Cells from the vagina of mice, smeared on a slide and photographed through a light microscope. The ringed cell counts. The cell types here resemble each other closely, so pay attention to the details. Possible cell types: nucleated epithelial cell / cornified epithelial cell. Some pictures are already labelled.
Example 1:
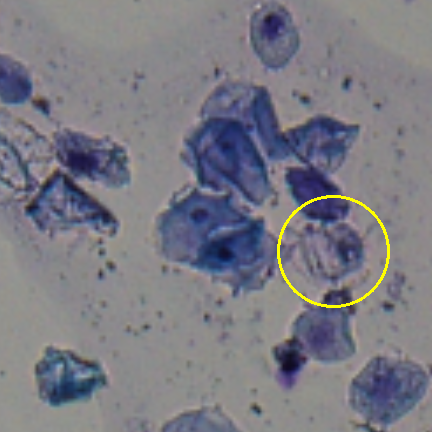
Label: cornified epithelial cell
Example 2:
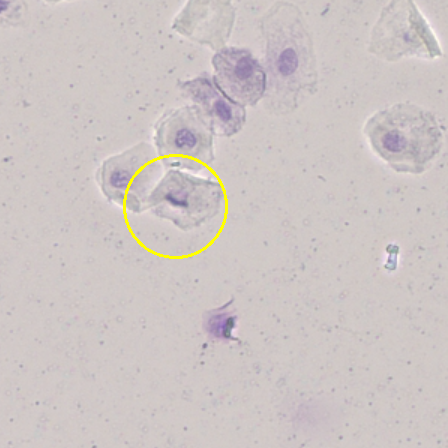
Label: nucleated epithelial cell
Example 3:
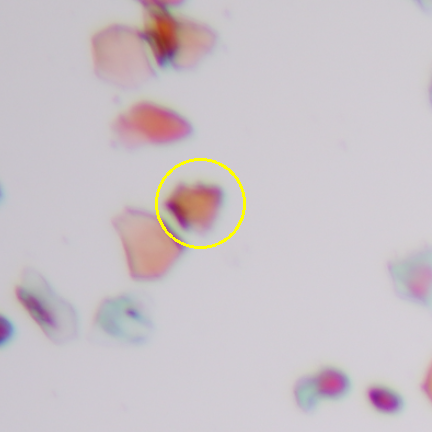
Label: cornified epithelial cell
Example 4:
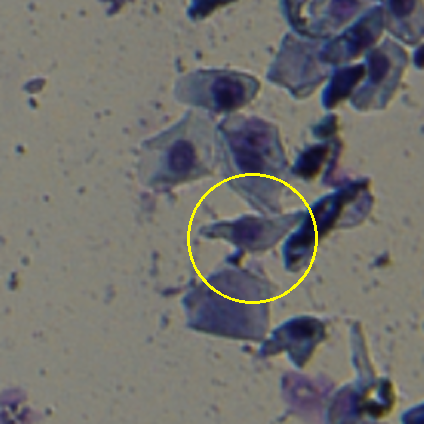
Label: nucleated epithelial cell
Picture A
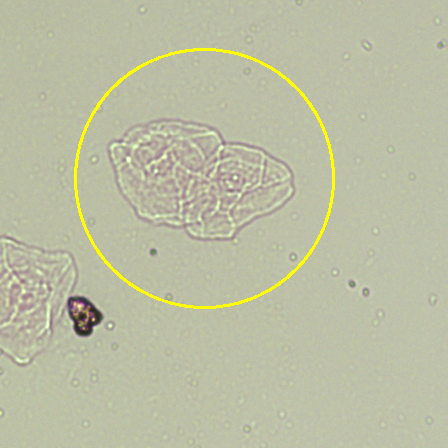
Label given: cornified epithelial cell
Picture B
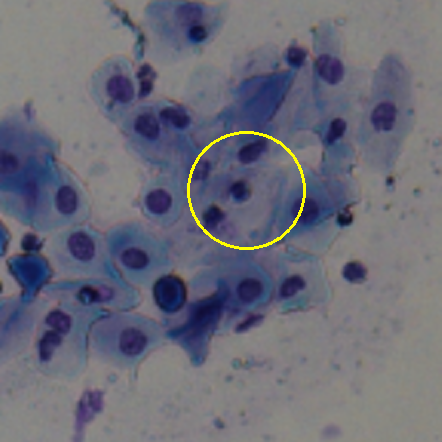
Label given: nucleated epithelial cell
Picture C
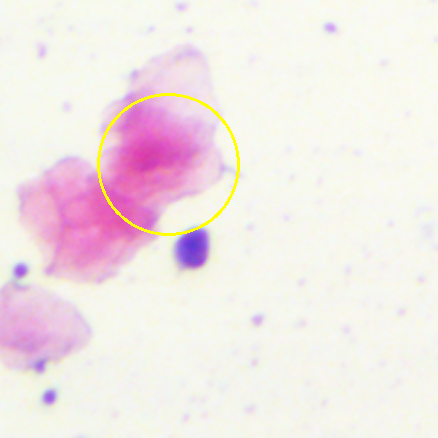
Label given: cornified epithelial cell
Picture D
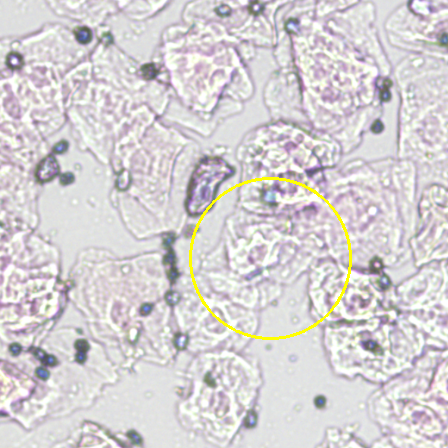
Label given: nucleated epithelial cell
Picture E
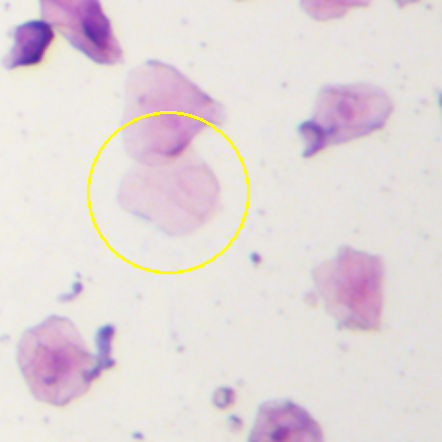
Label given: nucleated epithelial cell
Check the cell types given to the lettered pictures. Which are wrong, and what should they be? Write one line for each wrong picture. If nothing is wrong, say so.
Wrong: D (nucleated epithelial cell); correct: cornified epithelial cell
Wrong: E (nucleated epithelial cell); correct: cornified epithelial cell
